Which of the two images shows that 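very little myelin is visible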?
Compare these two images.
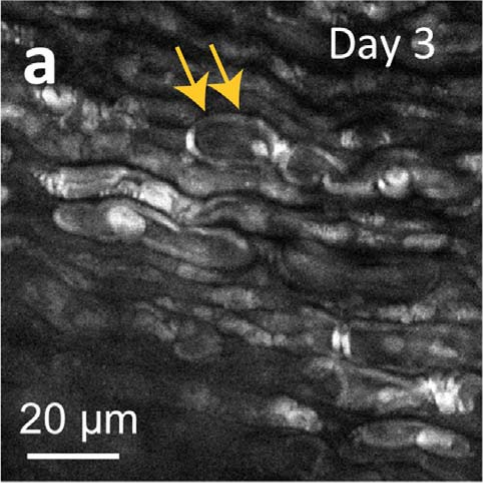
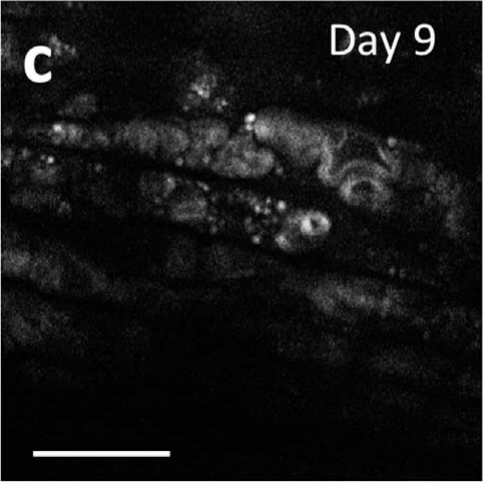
The second image.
